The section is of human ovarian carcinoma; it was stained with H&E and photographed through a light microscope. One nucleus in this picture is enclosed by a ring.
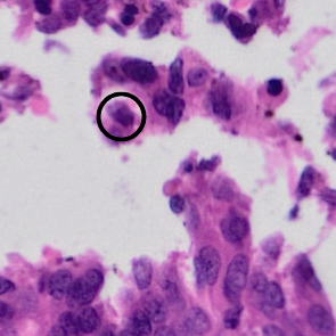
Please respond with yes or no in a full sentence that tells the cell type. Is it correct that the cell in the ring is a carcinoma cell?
No, the cell in the ring is put down as a macrophage or monocyte, not as a carcinoma cell.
